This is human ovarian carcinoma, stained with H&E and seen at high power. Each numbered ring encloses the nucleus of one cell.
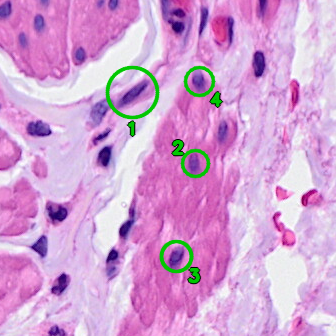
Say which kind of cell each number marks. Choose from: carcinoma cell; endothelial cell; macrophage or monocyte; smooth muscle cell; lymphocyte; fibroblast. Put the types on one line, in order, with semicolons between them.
endothelial cell; smooth muscle cell; smooth muscle cell; smooth muscle cell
